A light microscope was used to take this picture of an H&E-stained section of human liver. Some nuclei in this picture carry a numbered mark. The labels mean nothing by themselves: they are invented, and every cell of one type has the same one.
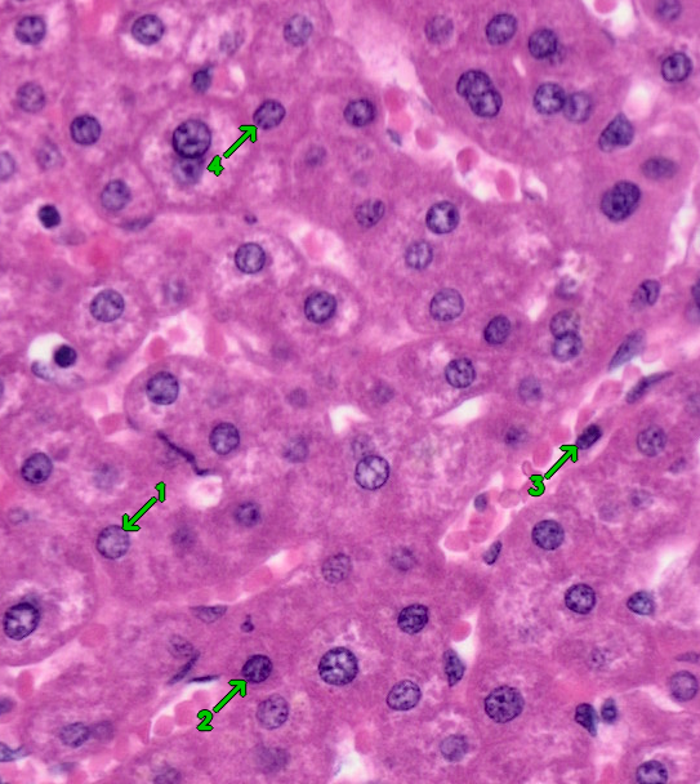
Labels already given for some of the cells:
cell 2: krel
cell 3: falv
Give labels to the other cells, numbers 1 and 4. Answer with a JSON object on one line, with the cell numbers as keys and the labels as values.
{"1": "krel", "4": "krel"}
